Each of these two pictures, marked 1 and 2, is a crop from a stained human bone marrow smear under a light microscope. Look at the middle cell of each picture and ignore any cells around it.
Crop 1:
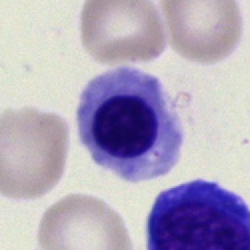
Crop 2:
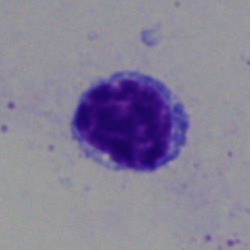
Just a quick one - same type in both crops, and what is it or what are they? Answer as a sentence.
No, on this set crop 1 shows a normoblast and crop 2 shows a lymphocyte.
